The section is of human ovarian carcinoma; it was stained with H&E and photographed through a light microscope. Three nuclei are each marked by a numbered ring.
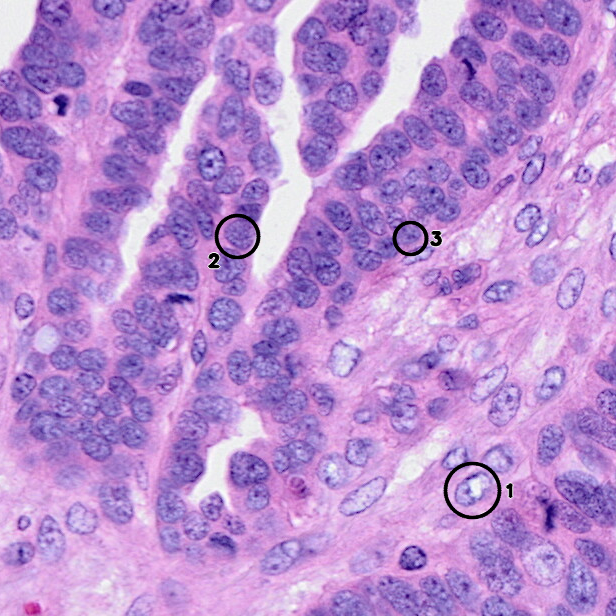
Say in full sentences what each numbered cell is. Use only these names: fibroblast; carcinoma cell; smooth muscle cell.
Cell 1 is a fibroblast. Cells 2 and 3 are carcinoma cells.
